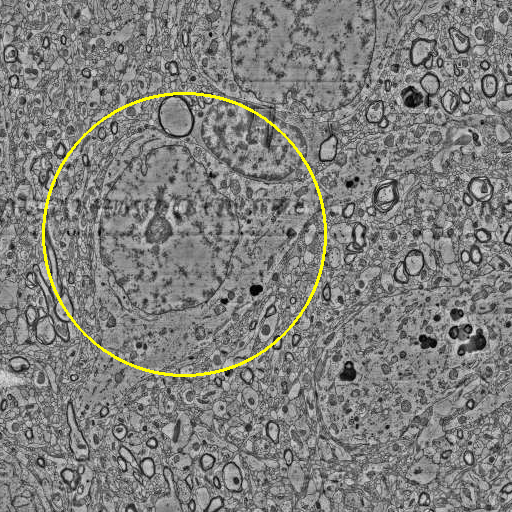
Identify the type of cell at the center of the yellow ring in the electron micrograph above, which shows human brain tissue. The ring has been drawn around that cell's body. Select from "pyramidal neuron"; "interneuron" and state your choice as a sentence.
The yellow ring is centered on the body of a pyramidal neuron.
